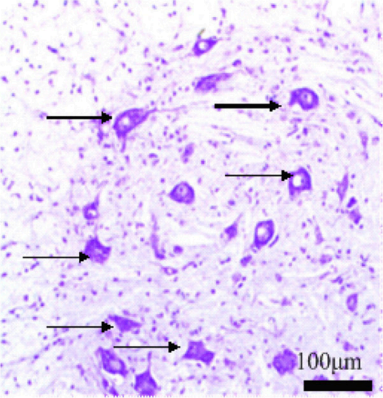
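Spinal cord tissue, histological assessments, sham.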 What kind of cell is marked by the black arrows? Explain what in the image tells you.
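Surviving neurons. The arrows point to large purple cell bodies, much bigger than the surrounding small dark nuclei. Several marked cells are angular, with tapering extensions.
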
